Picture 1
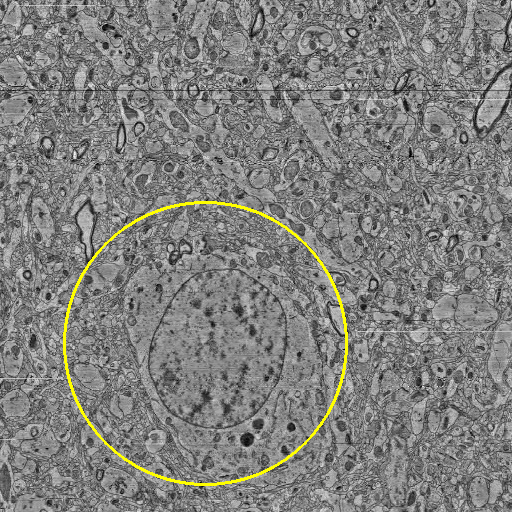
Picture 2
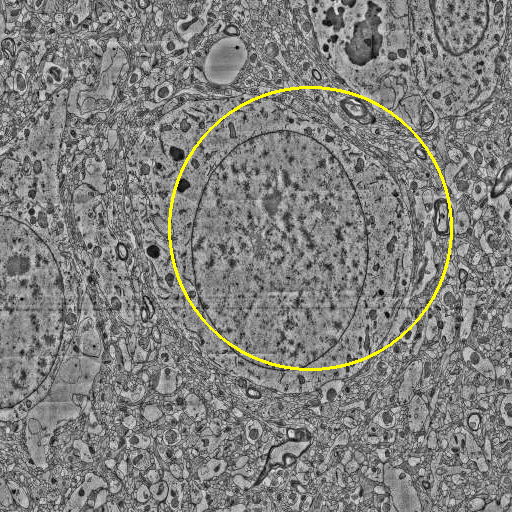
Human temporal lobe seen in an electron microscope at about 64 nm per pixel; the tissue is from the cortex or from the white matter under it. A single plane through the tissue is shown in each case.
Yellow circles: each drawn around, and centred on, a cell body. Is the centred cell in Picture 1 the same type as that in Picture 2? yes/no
yes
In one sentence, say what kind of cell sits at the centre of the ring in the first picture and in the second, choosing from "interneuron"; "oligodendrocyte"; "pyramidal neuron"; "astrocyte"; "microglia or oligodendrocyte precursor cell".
Both pictures show a pyramidal neuron at the centre of the ring.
